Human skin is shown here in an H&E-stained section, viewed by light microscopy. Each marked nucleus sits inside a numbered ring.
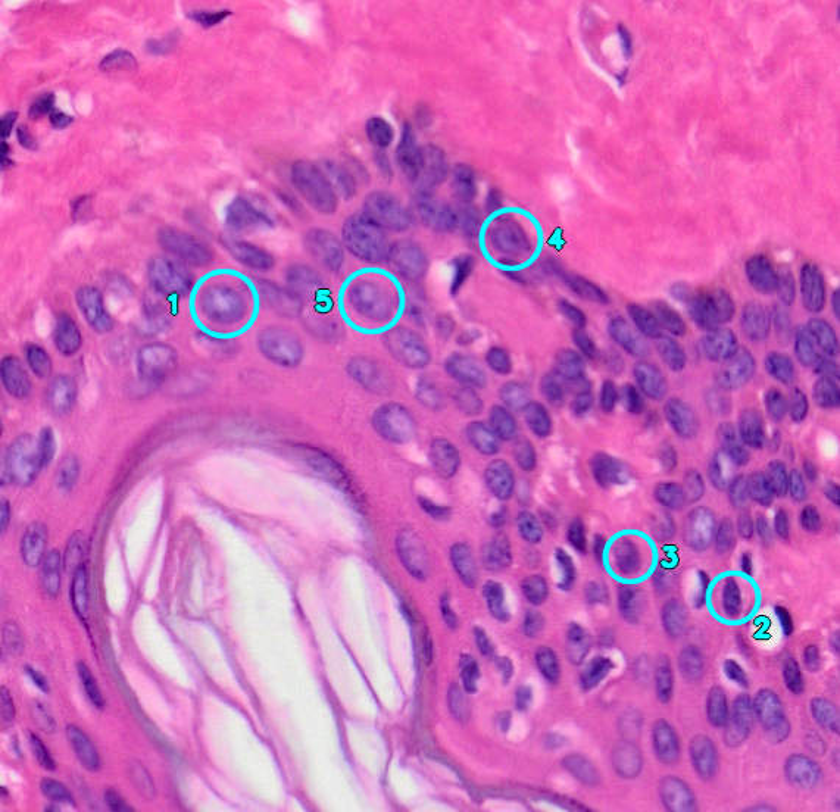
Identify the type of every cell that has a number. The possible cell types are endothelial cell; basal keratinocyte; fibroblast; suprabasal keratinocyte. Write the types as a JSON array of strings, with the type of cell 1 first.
["suprabasal keratinocyte", "basal keratinocyte", "basal keratinocyte", "basal keratinocyte", "suprabasal keratinocyte"]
